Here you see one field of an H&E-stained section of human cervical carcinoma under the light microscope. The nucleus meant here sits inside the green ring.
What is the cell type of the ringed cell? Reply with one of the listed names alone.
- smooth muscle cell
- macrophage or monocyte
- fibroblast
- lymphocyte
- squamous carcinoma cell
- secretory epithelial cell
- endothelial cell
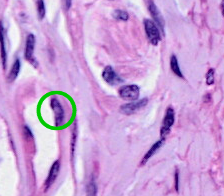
endothelial cell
